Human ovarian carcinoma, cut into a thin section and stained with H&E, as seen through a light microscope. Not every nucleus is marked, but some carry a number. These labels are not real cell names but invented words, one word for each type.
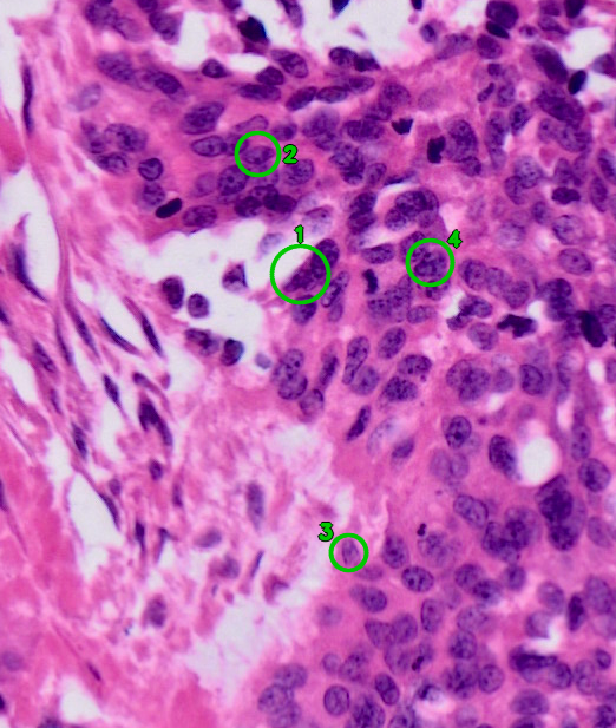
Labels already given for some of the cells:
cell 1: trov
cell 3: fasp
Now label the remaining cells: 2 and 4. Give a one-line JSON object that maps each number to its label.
{"2": "trov", "4": "trov"}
